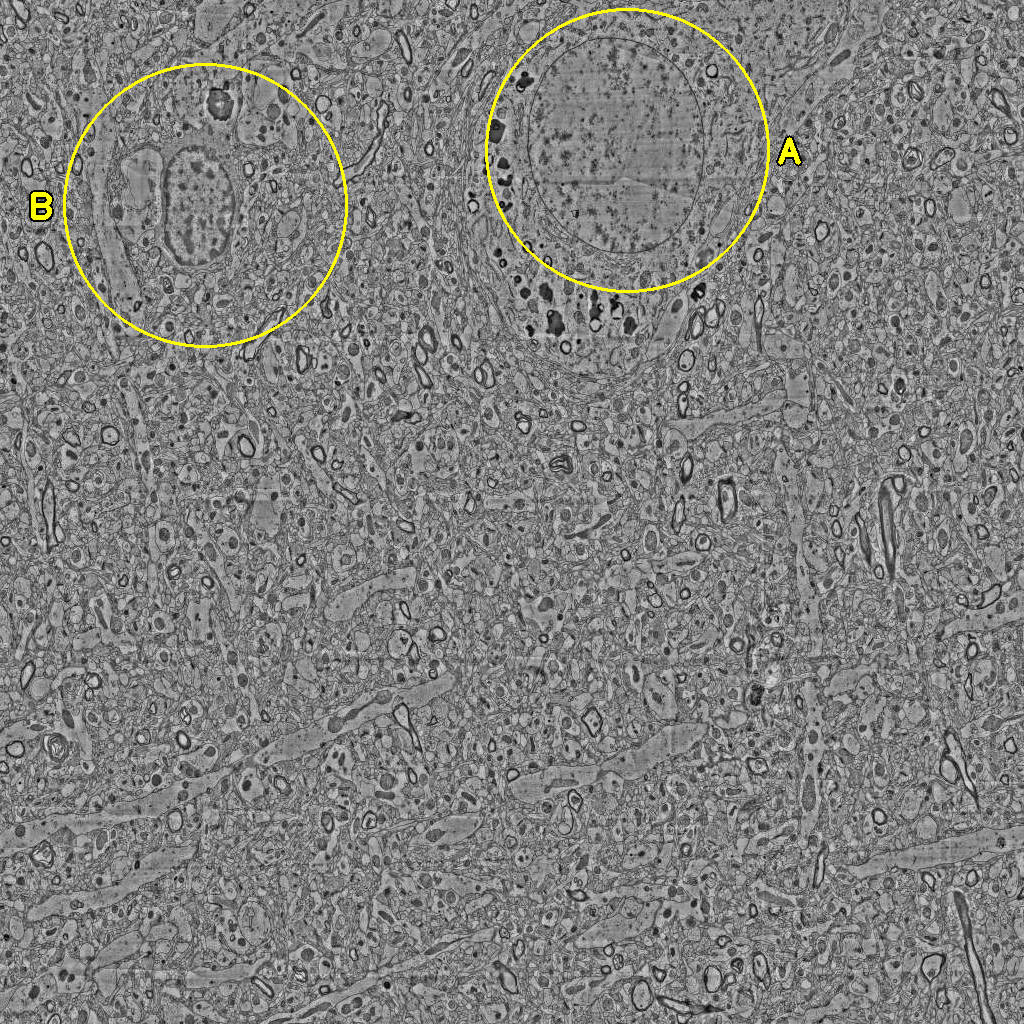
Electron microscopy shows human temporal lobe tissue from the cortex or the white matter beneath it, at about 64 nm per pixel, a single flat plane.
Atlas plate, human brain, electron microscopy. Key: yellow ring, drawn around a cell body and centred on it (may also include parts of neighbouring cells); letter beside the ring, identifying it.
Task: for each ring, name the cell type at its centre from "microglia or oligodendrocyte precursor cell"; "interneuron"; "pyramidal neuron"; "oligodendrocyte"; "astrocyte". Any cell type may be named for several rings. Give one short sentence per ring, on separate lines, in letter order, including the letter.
Ring A is centred over a pyramidal neuron.
Ring B is centred over a microglial cell or oligodendrocyte precursor cell.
